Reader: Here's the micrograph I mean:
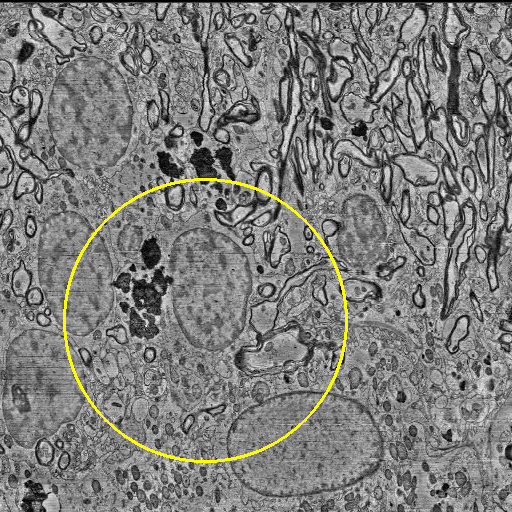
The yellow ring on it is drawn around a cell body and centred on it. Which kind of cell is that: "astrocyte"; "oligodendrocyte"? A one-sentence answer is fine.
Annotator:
The ring is centred on an oligodendrocyte.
